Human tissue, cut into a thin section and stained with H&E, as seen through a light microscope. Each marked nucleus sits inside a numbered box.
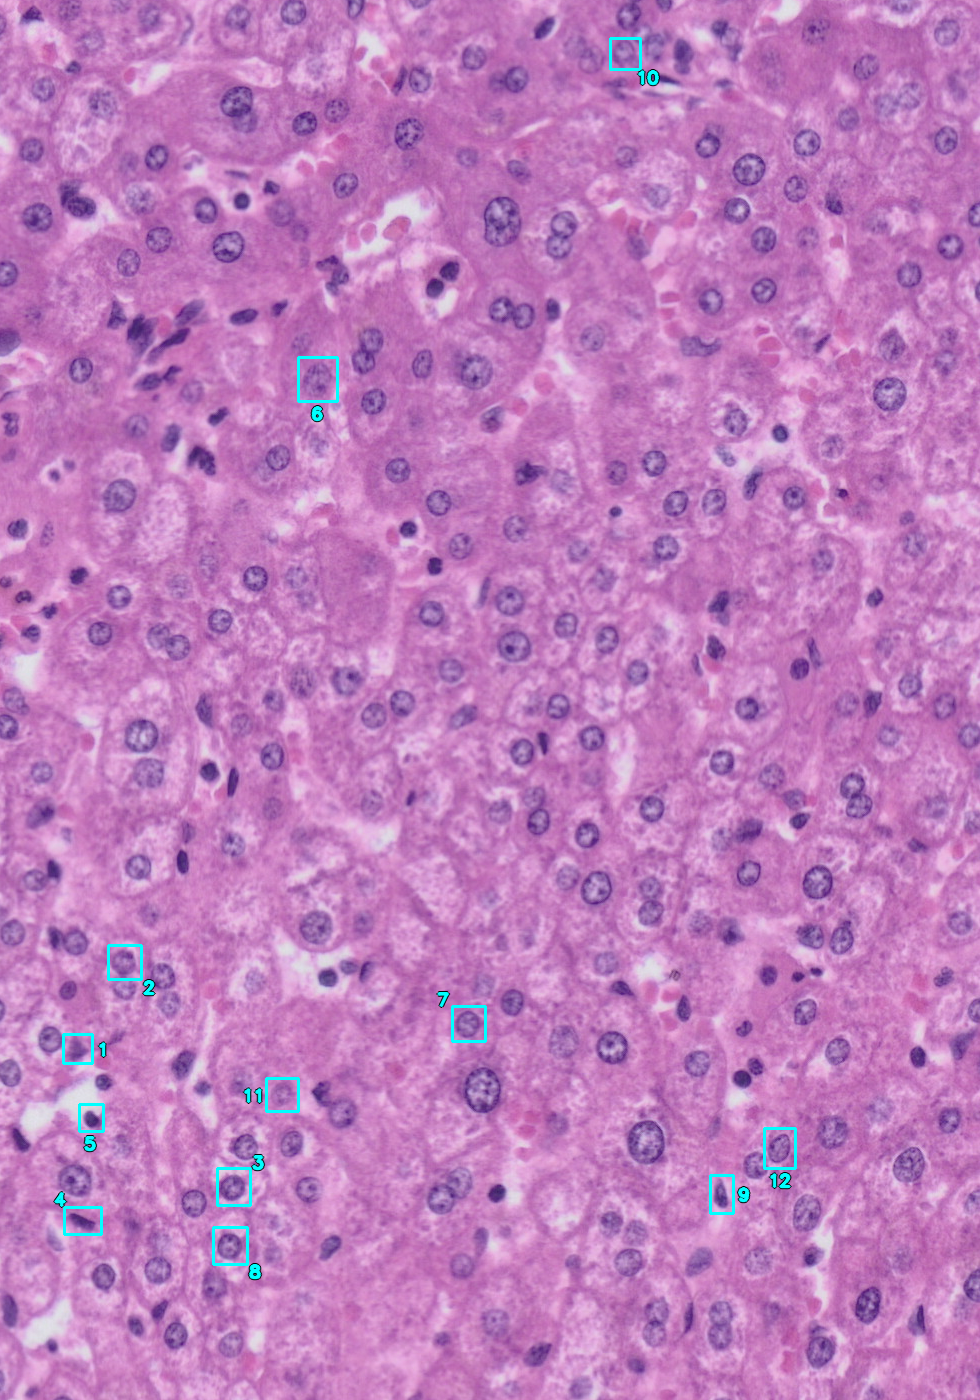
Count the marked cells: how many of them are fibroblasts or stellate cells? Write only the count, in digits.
2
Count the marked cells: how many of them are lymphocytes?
2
